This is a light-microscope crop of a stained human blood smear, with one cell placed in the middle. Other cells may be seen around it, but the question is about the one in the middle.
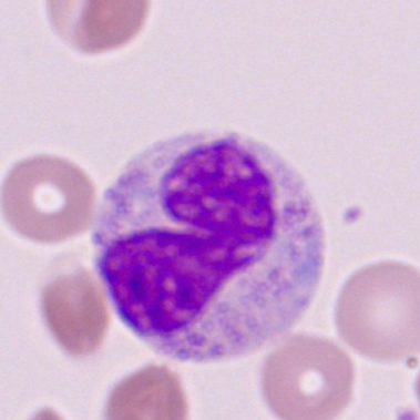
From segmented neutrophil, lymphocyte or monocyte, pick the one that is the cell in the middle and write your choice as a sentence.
The cell of interest, in the center, is a monocyte.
